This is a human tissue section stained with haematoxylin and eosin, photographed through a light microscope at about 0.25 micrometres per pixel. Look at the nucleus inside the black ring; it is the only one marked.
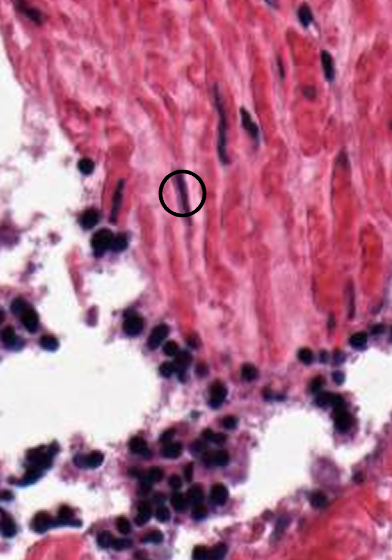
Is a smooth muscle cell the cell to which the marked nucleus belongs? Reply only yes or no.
yes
